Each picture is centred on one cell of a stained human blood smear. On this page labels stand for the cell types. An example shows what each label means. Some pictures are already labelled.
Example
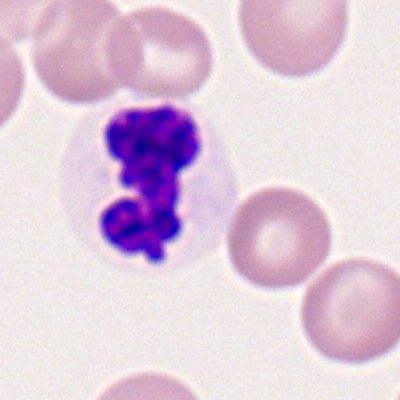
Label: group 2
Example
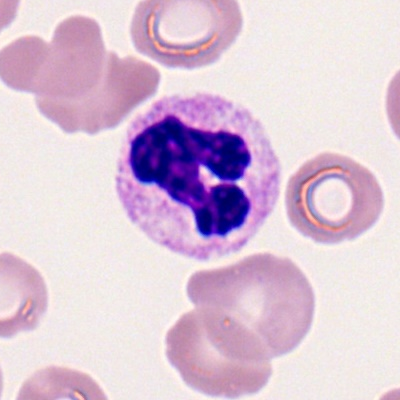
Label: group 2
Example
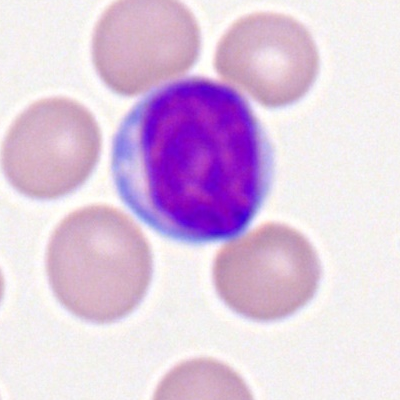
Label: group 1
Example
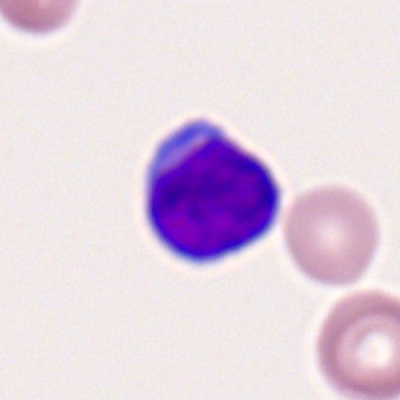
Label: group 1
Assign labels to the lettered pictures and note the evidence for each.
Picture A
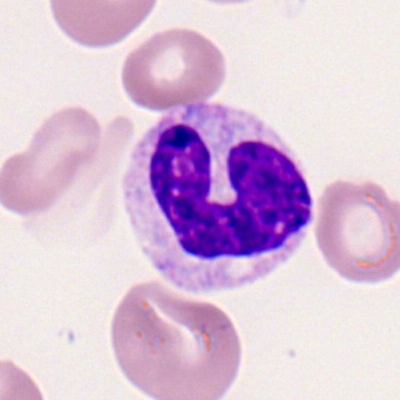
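Answer: group 2. The nucleus is a single unsegmented band bent into a horseshoe that opens toward the top.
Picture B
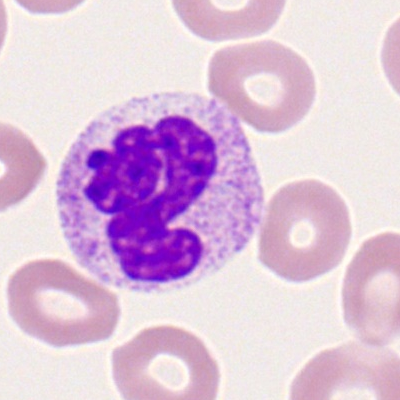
Answer: group 2. The cytoplasm is plentiful and pale pinkish-lilac.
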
